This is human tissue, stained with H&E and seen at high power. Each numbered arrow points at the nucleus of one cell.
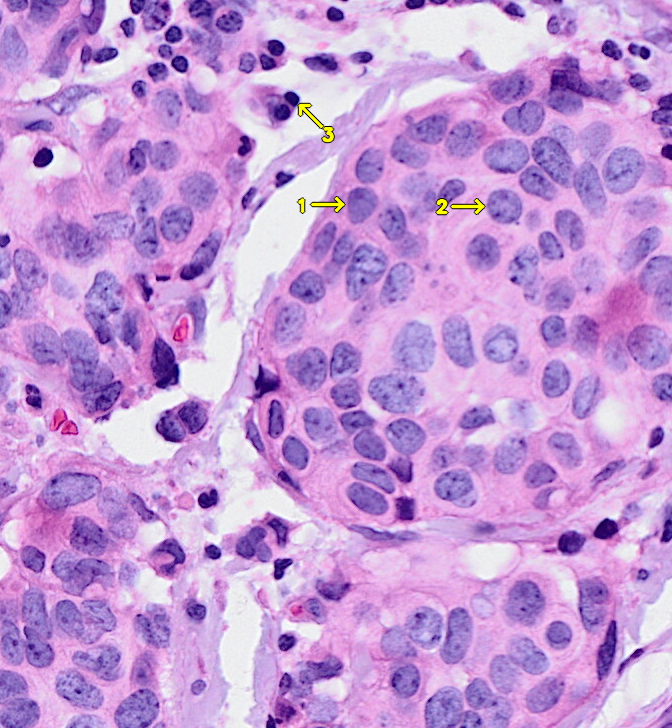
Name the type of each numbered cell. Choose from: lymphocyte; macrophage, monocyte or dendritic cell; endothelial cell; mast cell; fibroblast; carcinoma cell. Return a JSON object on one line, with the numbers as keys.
{"1": "carcinoma cell", "2": "carcinoma cell", "3": "lymphocyte"}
